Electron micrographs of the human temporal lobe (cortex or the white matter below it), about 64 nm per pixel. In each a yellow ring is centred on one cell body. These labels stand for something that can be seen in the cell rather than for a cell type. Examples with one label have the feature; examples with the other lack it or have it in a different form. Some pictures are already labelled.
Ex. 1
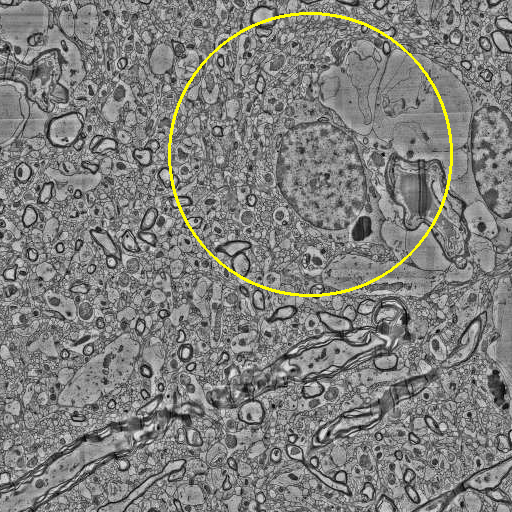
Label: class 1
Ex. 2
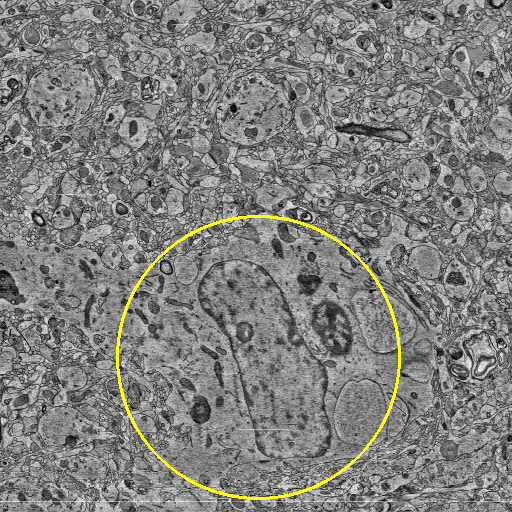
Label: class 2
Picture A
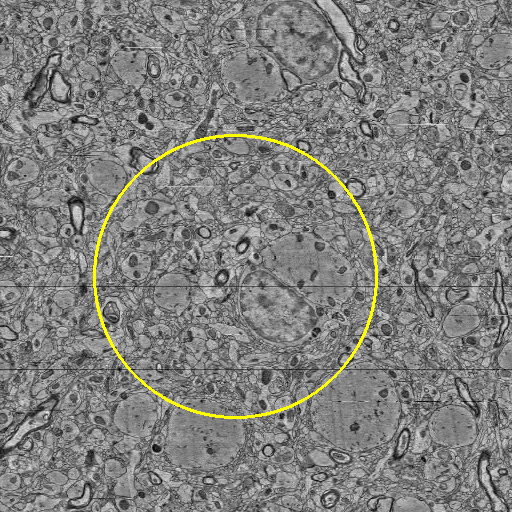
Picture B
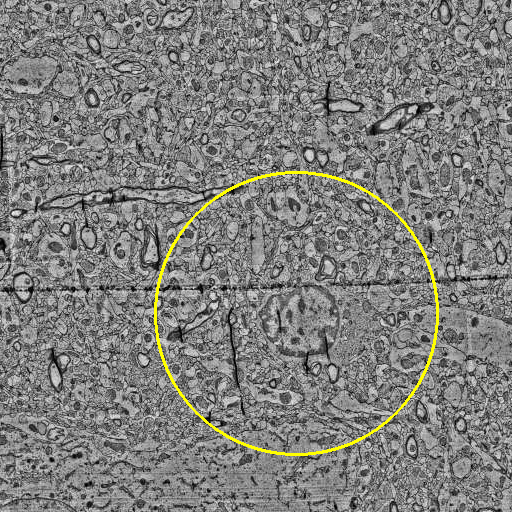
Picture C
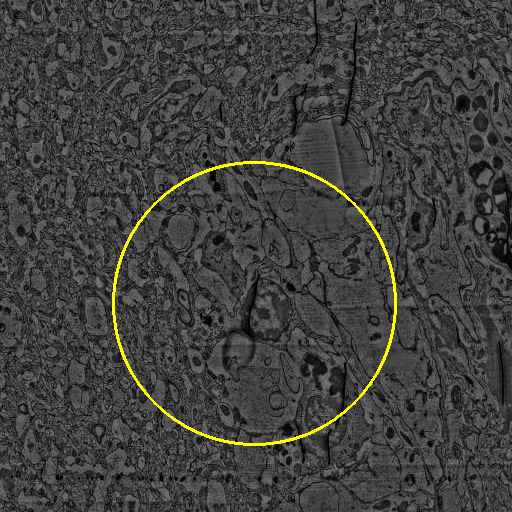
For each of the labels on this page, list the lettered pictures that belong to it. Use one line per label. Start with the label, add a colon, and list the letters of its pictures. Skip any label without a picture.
class 1: B, C
class 2: A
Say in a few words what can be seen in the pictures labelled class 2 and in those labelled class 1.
Seen in class 2: clearly elongated nuclei; seen in class 1: round or nearly round nuclei.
